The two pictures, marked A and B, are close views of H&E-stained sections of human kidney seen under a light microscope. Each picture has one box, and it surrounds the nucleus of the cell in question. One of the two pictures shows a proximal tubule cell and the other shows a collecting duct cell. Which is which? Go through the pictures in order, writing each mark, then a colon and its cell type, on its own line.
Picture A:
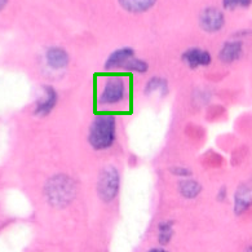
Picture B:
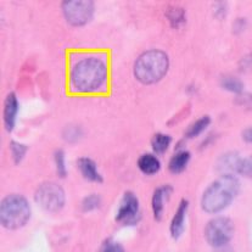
A: collecting duct cell
B: proximal tubule cell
